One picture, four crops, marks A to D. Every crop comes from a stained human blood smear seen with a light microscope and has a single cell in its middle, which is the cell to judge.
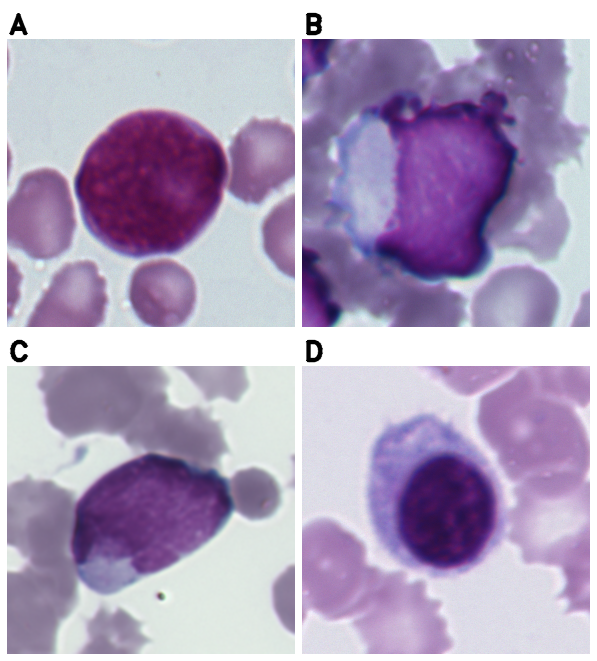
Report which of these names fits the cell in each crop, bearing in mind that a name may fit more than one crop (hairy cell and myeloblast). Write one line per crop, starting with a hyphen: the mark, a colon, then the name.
- A: myeloblast
- B: myeloblast
- C: myeloblast
- D: hairy cell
